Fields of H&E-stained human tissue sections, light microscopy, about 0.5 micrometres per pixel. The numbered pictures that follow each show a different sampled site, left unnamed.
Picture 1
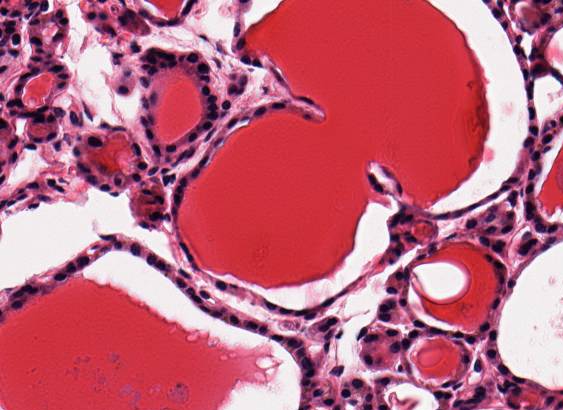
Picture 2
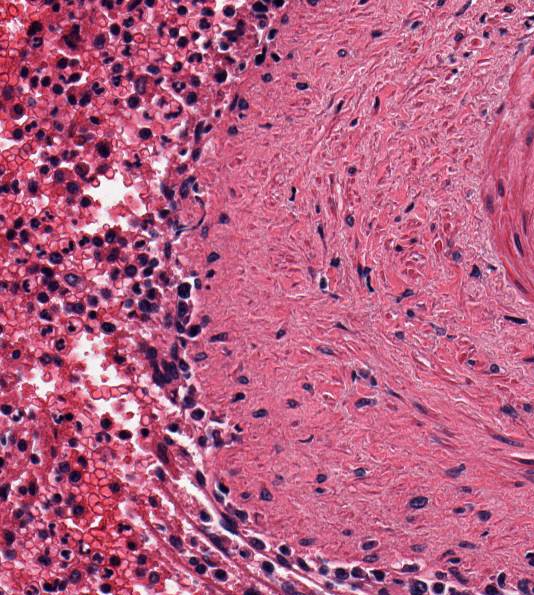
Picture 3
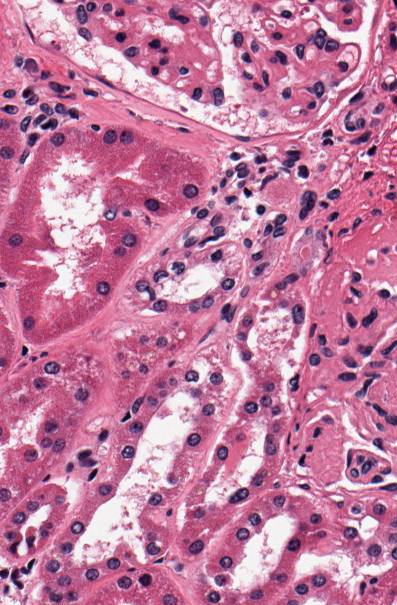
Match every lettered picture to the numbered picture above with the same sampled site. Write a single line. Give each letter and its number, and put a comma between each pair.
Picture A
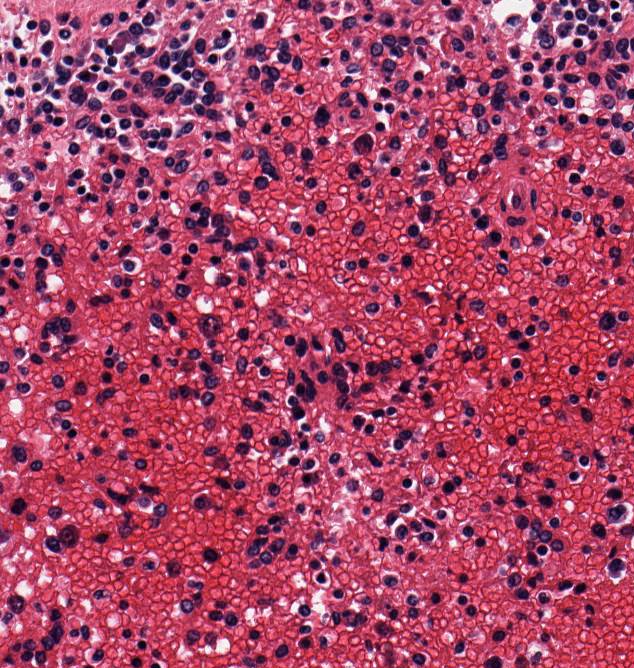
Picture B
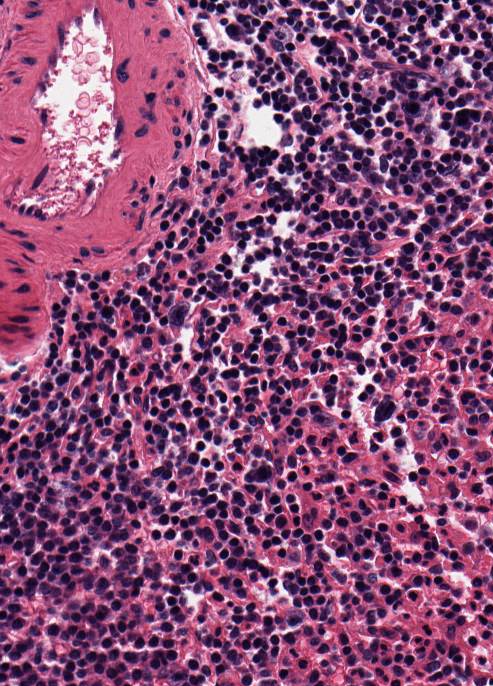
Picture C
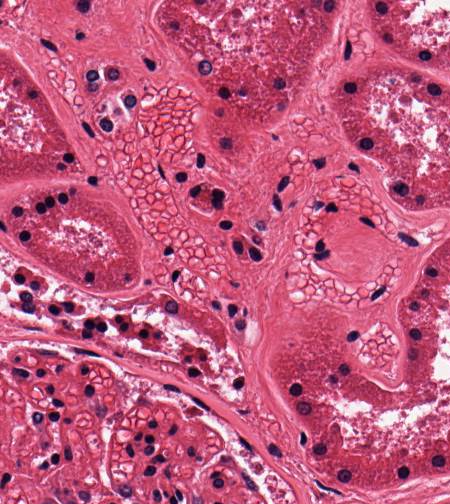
A 2, B 2, C 3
